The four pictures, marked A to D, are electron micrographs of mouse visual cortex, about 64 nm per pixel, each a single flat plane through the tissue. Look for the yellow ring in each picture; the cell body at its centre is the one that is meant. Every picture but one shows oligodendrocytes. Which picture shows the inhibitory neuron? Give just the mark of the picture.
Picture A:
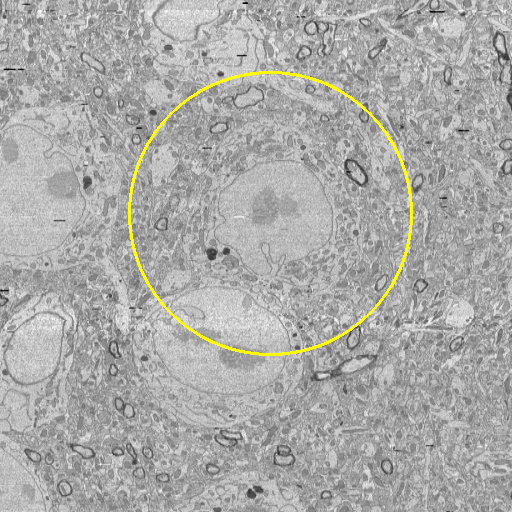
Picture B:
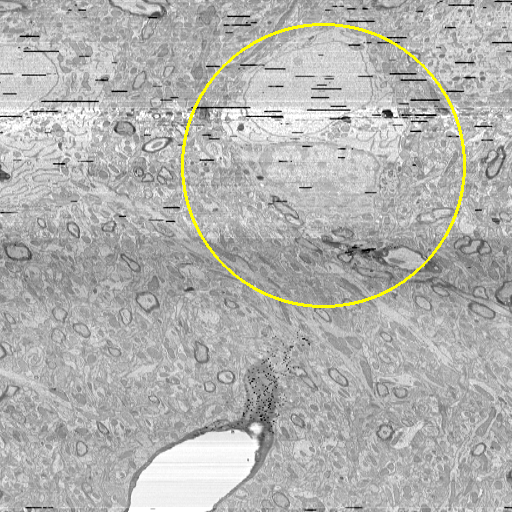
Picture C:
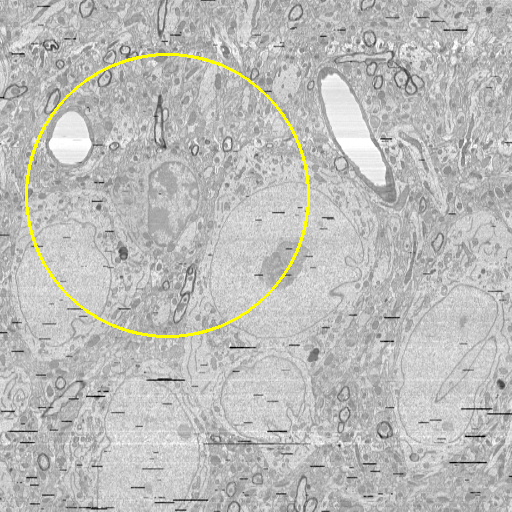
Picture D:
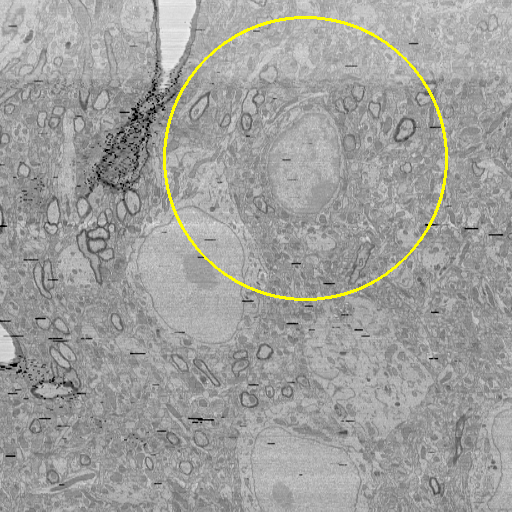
A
